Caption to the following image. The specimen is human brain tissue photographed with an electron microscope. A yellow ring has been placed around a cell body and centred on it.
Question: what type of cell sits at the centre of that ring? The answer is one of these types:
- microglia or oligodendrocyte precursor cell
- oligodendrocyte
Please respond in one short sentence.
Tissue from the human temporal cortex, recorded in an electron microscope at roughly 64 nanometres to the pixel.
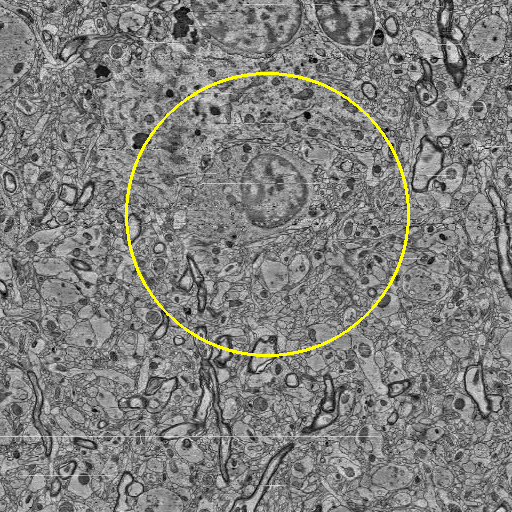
The ring surrounds the cell body of an oligodendrocyte.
